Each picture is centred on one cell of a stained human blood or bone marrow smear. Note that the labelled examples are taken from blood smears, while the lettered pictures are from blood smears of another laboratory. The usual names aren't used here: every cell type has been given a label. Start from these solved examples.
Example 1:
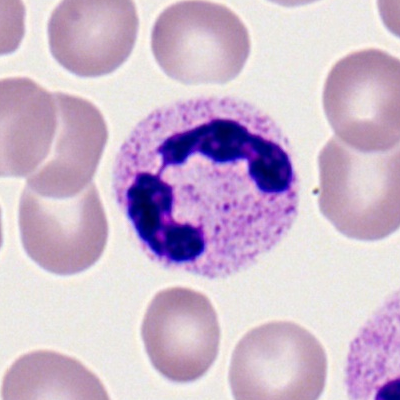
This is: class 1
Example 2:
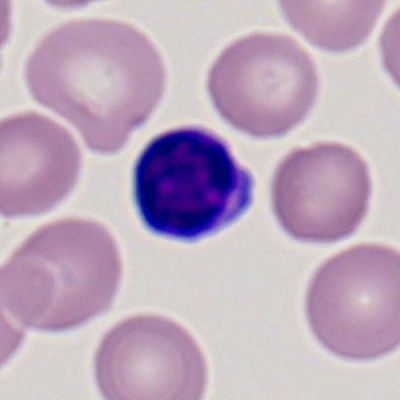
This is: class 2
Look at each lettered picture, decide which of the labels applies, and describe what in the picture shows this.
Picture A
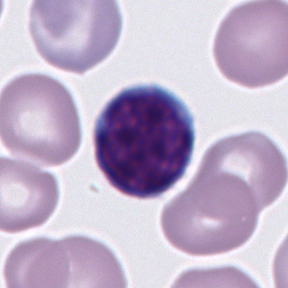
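class 2. Reason: The cytoplasm is only a thin blue rim at the cell's edge.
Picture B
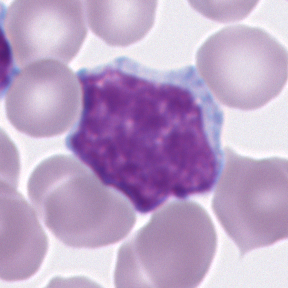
class 2. Reason: The cytoplasm forms only a thin rim around the nucleus.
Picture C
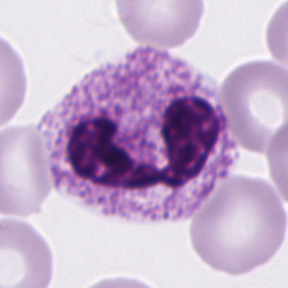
class 1. Reason: The nucleus is divided into two lobes.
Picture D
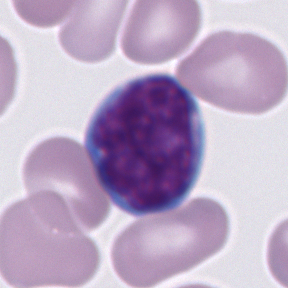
class 2. Reason: The thin rim of cytoplasm is blue.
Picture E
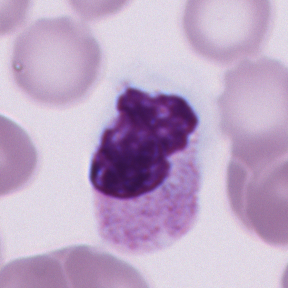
class 1. Reason: The cytoplasm is pale pink.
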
